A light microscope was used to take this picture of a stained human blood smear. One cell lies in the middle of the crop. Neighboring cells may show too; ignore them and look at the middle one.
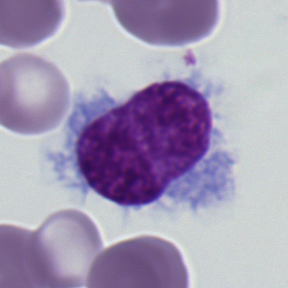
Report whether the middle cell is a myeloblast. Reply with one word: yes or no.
no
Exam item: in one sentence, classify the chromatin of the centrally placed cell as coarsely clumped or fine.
Coarse clumps are absent, and the chromatin is fine throughout.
